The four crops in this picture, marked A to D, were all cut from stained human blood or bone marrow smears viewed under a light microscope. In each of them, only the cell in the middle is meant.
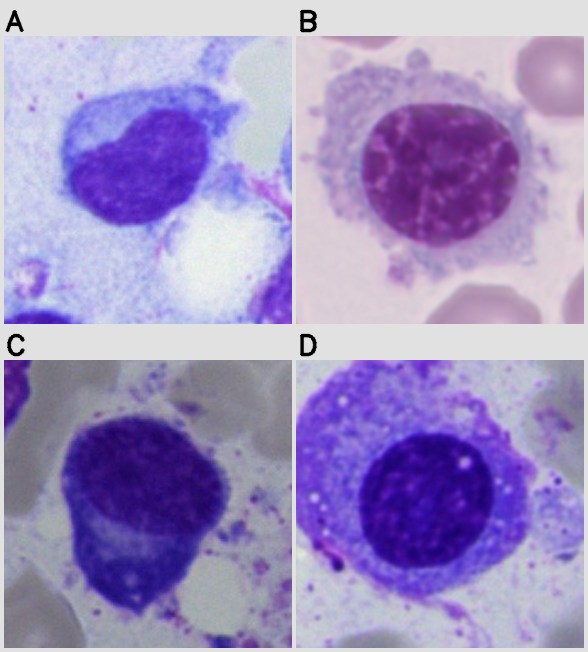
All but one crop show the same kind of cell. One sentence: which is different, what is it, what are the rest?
Of all the crops, only crop A shows a hairy cell; the others show plasma cells.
